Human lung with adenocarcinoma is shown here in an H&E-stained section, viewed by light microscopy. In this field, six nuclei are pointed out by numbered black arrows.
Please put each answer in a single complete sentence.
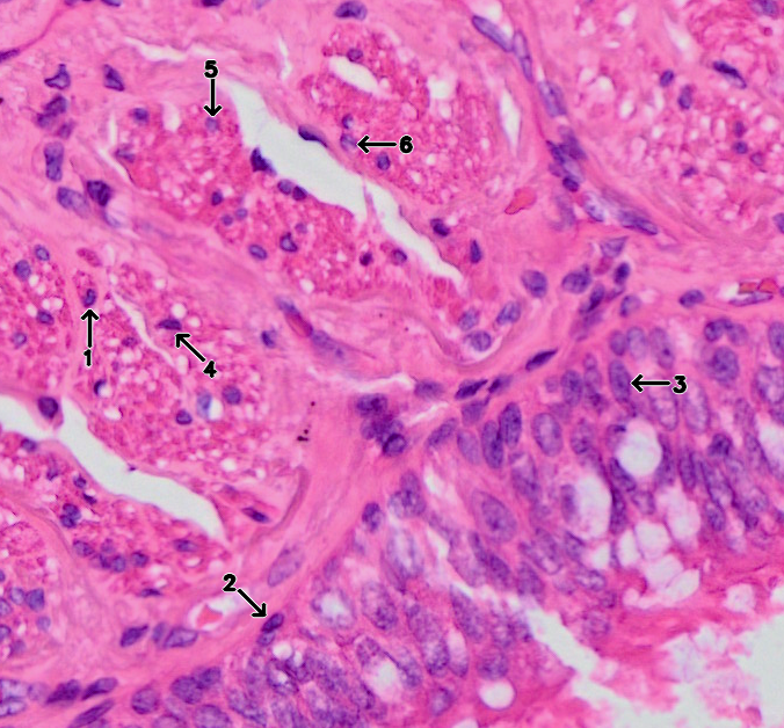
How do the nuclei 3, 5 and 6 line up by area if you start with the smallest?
The order from the smallest nucleus to the largest is 5, 6, 3.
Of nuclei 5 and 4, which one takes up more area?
The larger nucleus is 4, at roughly 1.5 times the area of 5.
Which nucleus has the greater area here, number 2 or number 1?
At about 1.5 times the area of nucleus 1, nucleus 2 is the larger of the two.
